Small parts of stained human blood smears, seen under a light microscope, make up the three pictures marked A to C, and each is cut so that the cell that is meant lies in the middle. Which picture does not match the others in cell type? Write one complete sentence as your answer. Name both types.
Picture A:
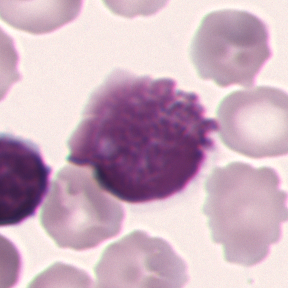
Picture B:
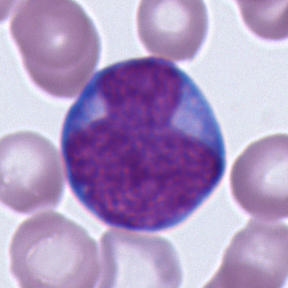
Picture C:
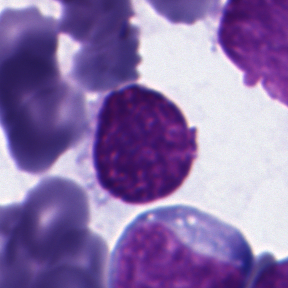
Unlike the rest, which show myeloblasts, picture A shows a smudge cell.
